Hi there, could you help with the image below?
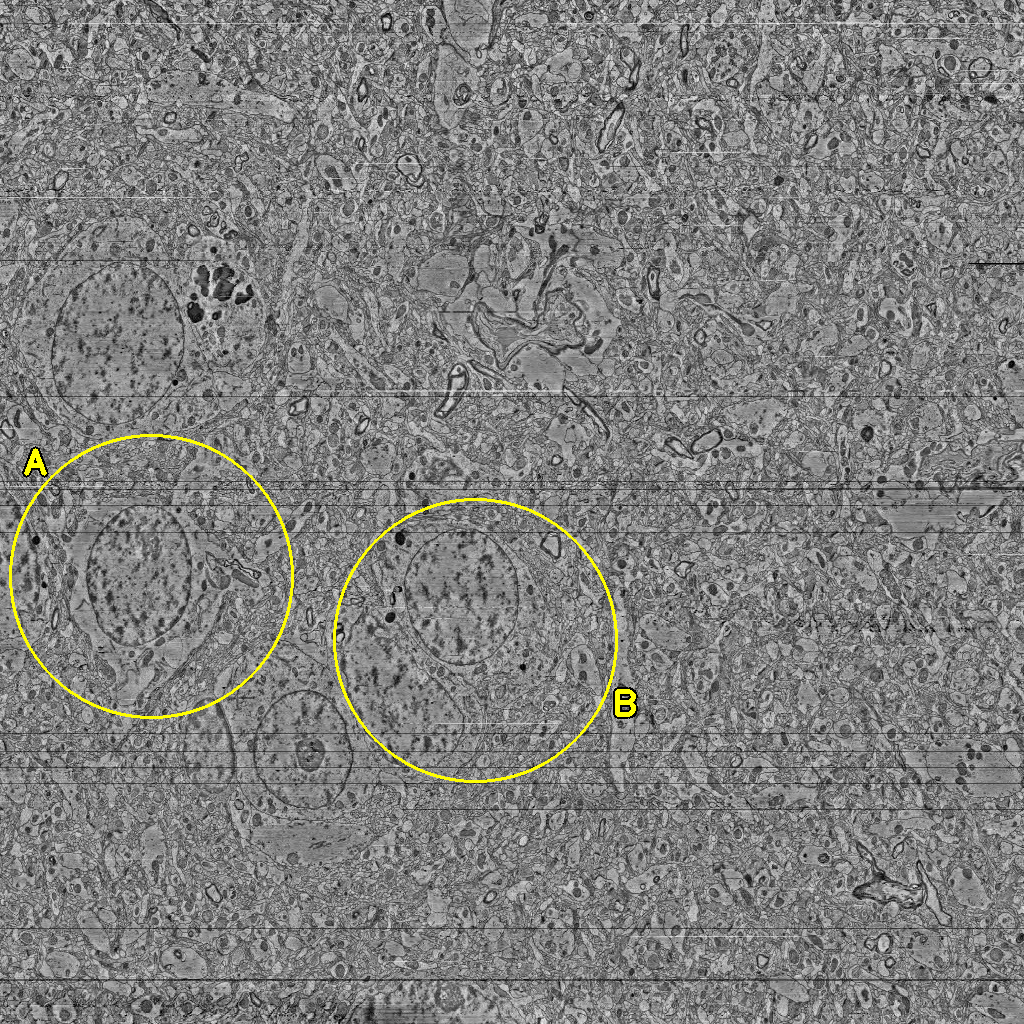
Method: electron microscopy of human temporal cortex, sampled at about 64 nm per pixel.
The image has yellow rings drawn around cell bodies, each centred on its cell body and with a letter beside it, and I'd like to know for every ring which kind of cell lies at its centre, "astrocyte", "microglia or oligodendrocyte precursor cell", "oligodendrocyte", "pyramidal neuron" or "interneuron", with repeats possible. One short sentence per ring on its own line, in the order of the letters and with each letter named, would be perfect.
Ring A is placed around an astrocyte.
Ring B is placed around a pyramidal neuron.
